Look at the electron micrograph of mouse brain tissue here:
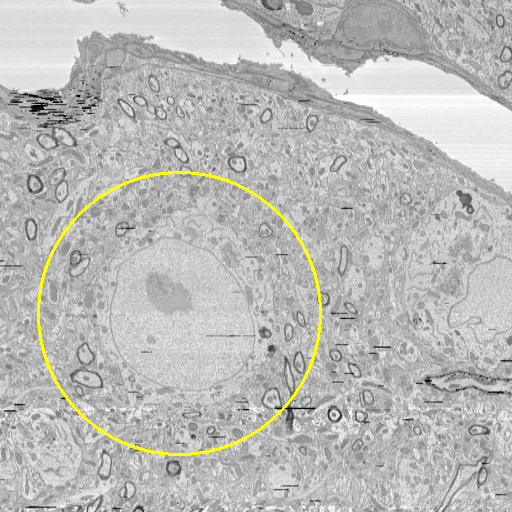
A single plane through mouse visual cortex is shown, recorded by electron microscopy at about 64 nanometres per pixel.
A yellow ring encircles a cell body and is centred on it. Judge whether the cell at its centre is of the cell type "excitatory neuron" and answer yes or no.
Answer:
yes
